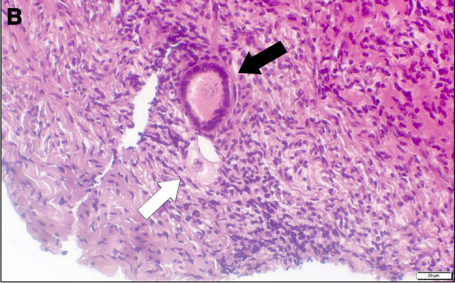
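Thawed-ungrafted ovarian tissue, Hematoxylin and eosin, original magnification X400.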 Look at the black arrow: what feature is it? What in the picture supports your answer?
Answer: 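A round structure with a pale central cell. The central cell is ringed by a single layer of darker cuboidal cells. It lies within dense spindle-cell stroma.
Answer: primary follicle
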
